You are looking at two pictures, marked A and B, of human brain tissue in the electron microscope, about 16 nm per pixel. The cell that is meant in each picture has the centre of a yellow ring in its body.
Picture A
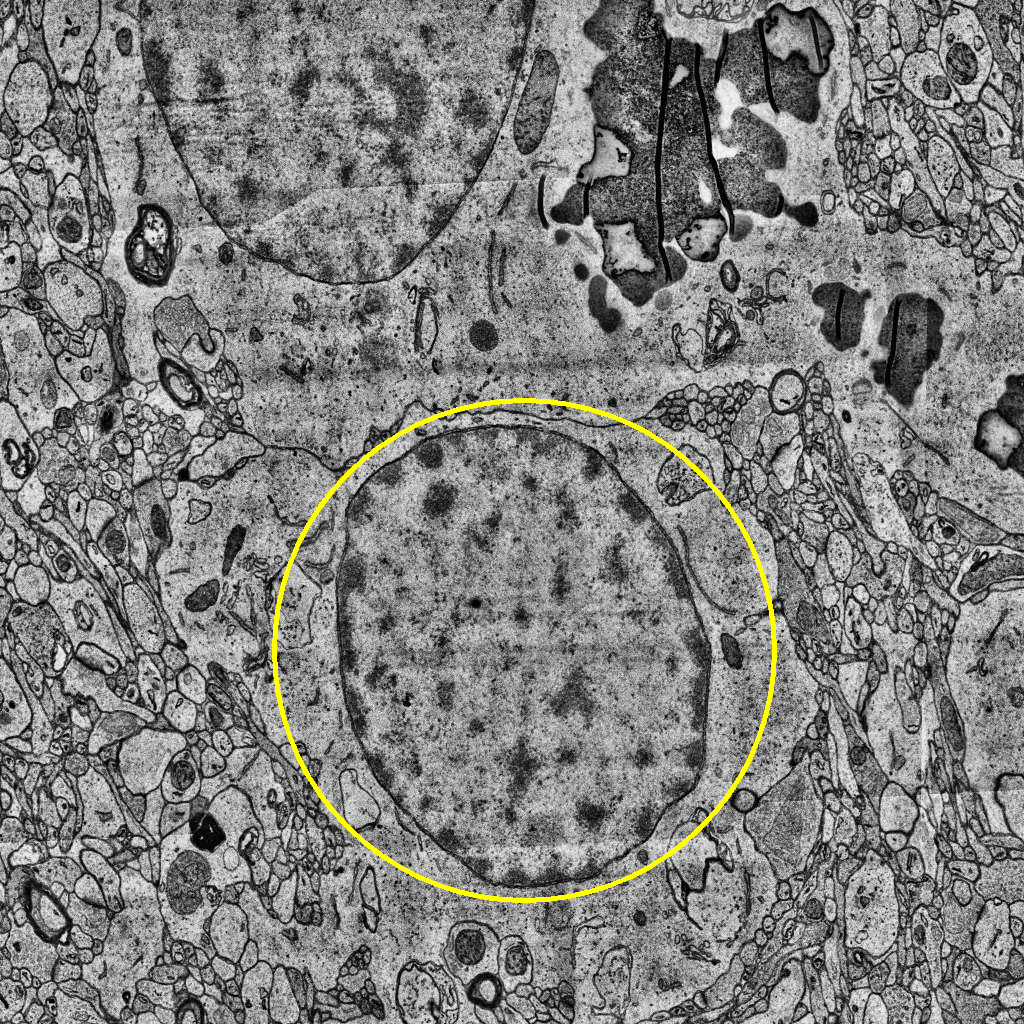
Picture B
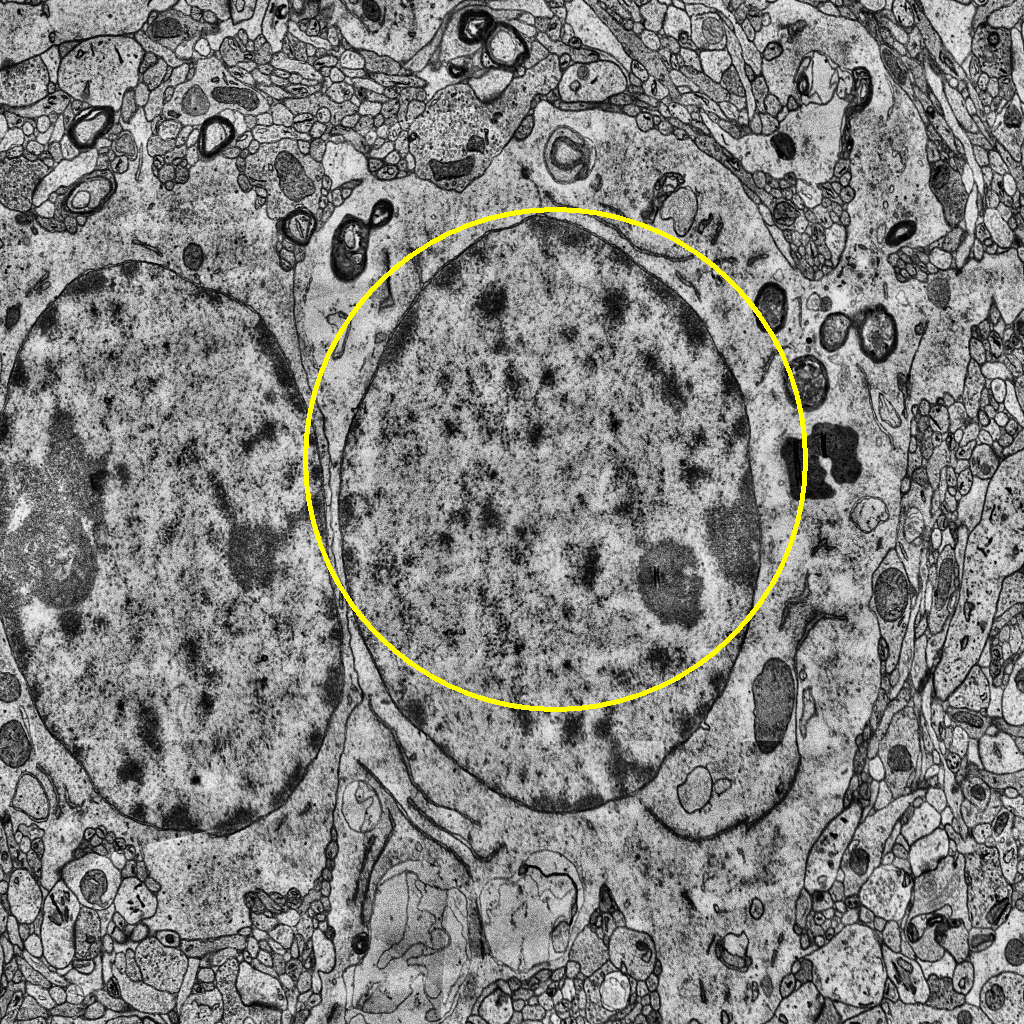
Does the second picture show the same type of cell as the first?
Yes, the two pictures both show astrocytes.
